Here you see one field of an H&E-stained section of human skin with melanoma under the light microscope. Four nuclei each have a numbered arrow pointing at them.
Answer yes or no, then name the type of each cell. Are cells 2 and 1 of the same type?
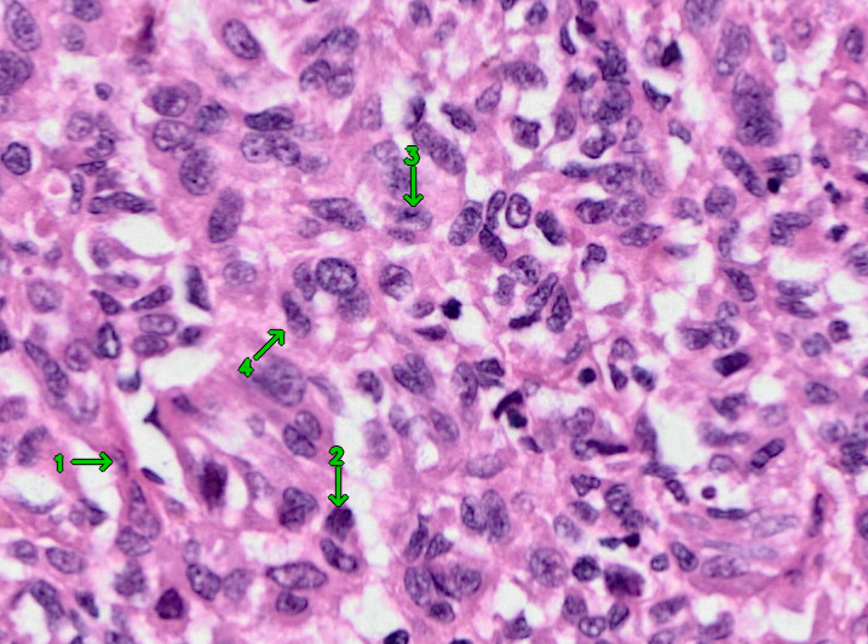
No, cell 2 is a melanoma cell; as for cell 1, that one is an endothelial cell.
